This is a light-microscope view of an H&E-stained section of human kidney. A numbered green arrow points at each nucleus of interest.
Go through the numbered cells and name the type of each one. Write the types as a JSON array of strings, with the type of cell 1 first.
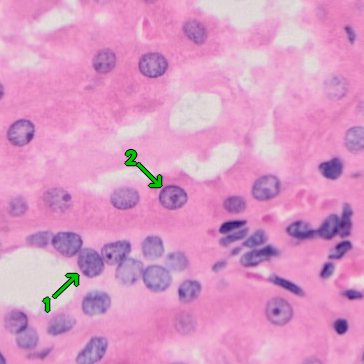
["collecting duct cell", "proximal tubule cell"]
